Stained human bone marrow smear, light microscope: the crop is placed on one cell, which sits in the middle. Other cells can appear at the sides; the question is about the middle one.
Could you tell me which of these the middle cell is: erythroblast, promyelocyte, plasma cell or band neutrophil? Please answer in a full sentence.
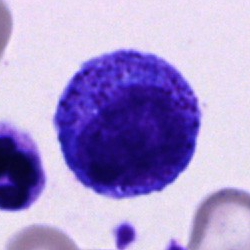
This particular crop is centered on a promyelocyte.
